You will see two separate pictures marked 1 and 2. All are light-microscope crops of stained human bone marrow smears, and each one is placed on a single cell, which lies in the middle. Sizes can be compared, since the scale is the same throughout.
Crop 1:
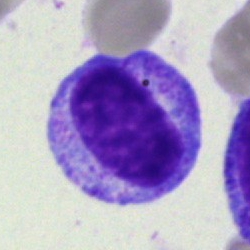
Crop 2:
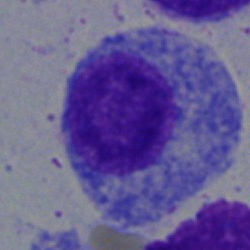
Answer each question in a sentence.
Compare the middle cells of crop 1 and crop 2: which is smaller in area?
Crop 1 holds the smaller cell, since the cell in crop 2 covers about 1.5 times as much area.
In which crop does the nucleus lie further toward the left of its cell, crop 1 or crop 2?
It is the nucleus in crop 2 that lies further toward the left of its cell.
